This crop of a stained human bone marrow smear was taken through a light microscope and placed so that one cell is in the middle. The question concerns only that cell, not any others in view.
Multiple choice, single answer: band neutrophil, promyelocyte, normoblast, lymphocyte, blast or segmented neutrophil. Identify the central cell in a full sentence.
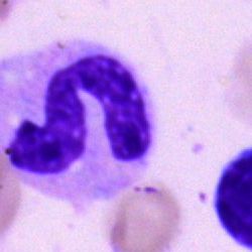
The target cell in the middle of the crop is a segmented neutrophil.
